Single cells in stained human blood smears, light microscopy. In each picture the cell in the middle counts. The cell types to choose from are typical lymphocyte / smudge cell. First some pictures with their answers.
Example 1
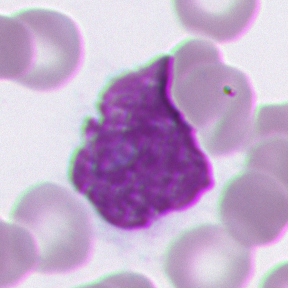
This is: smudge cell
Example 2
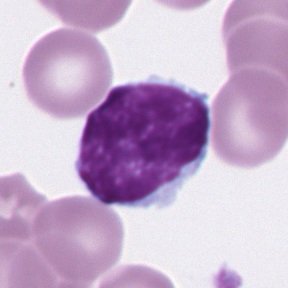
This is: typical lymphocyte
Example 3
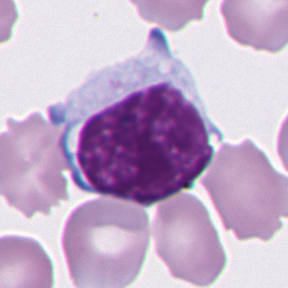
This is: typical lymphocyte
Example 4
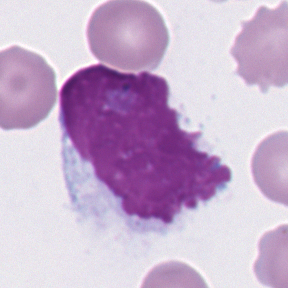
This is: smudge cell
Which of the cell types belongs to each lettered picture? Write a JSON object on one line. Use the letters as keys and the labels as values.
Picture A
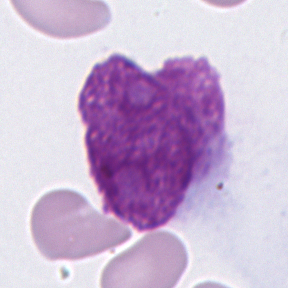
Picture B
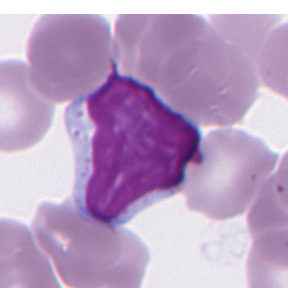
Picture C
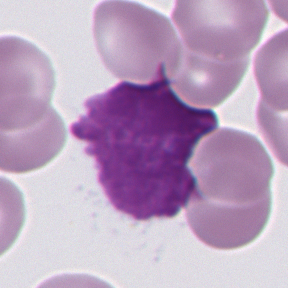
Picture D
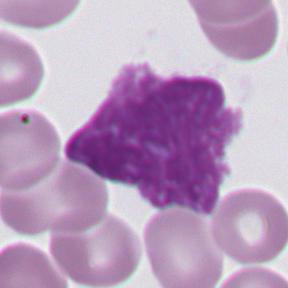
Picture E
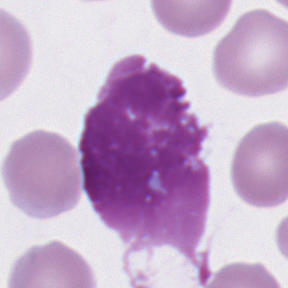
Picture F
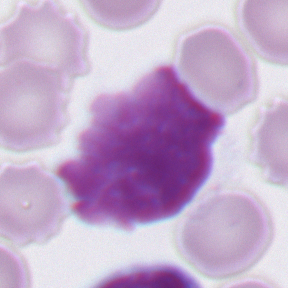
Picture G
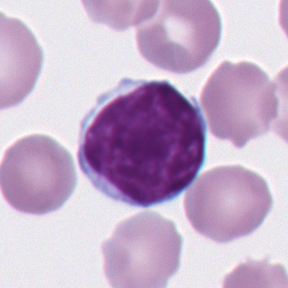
{"A": "smudge cell", "B": "typical lymphocyte", "C": "smudge cell", "D": "smudge cell", "E": "smudge cell", "F": "smudge cell", "G": "typical lymphocyte"}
